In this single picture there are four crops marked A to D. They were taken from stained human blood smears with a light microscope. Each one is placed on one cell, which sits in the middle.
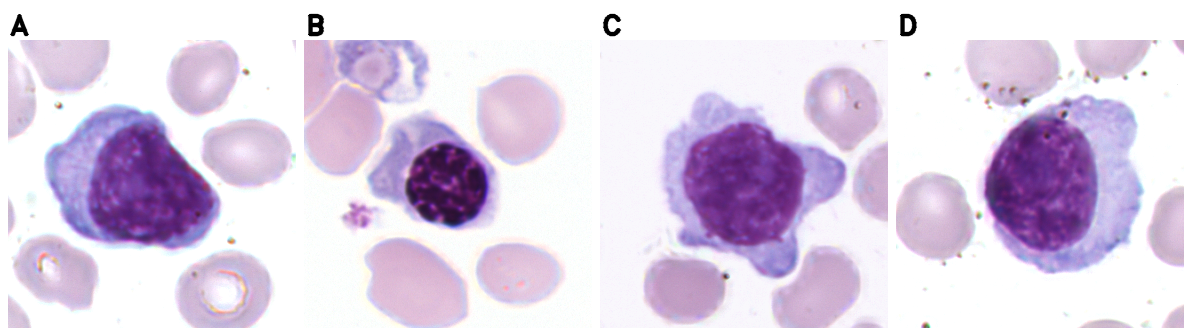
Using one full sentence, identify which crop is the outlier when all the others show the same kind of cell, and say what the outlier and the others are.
Differing from the rest, crop B shows a normoblast; the others all show plasma cells.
